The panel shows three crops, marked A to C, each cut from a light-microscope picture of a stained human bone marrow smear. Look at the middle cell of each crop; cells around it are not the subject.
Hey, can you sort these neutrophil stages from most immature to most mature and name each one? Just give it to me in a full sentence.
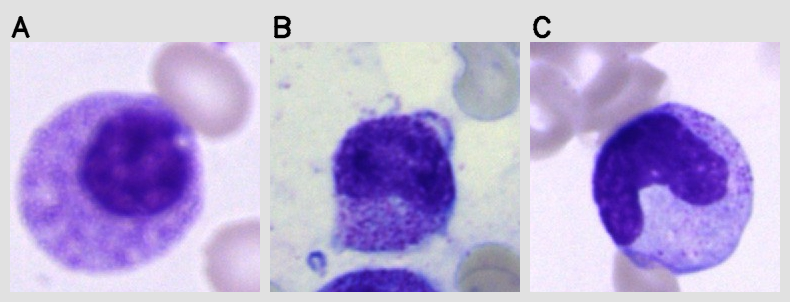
The maturation order, from least to most mature, is crop A (a myelocyte), crop B (a metamyelocyte) and crop C (a band neutrophil).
